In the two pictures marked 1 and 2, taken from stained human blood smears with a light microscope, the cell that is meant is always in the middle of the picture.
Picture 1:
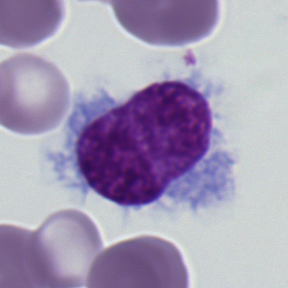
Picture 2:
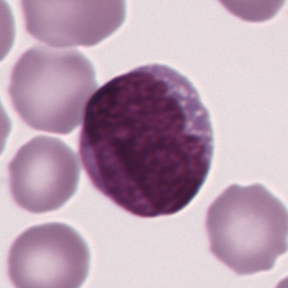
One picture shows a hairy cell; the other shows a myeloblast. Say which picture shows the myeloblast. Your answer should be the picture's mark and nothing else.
2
